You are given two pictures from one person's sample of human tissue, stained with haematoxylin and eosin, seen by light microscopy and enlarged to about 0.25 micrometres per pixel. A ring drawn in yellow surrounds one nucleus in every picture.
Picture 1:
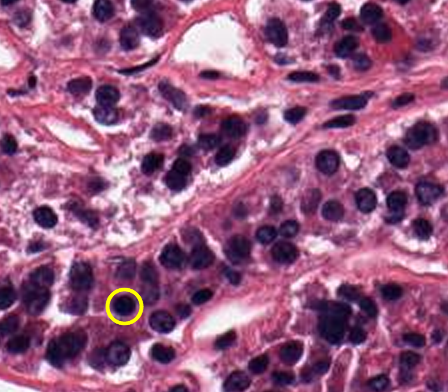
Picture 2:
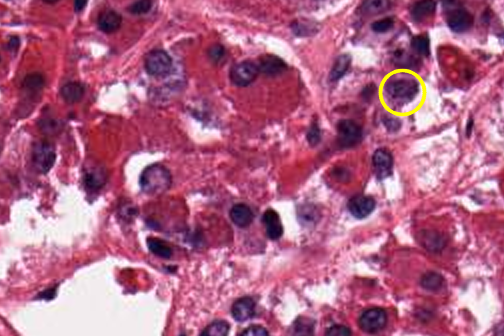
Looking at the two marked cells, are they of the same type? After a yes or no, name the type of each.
Yes, both are anterior pituitary cells.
